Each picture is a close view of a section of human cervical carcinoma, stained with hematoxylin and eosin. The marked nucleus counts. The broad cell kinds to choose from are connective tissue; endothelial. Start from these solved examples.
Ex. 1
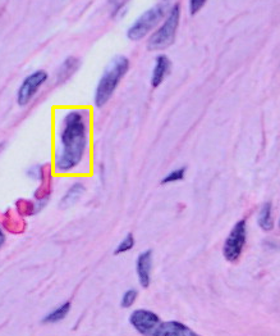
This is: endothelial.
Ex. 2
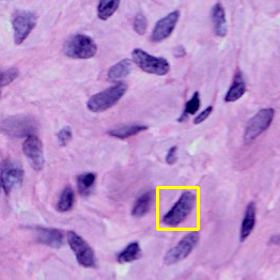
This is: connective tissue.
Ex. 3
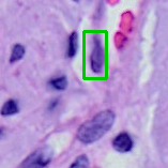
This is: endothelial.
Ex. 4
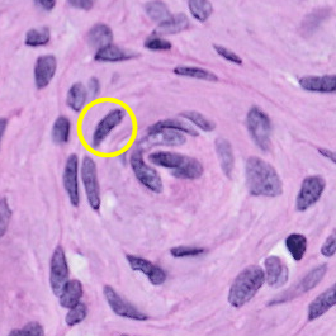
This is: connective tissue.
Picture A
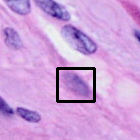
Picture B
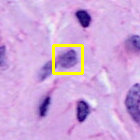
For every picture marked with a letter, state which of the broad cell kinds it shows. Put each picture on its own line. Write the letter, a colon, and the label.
A: endothelial.
B: connective tissue.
